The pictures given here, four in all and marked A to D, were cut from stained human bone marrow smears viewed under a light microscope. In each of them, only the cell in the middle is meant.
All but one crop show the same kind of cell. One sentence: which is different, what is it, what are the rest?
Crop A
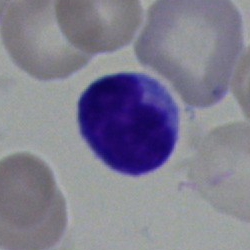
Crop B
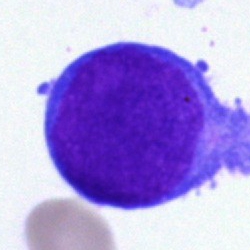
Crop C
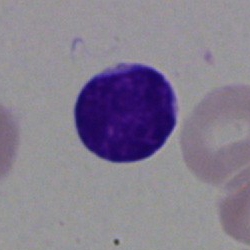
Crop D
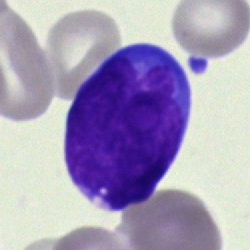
All the crops show blasts, barring crop A, which is a lymphocyte.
